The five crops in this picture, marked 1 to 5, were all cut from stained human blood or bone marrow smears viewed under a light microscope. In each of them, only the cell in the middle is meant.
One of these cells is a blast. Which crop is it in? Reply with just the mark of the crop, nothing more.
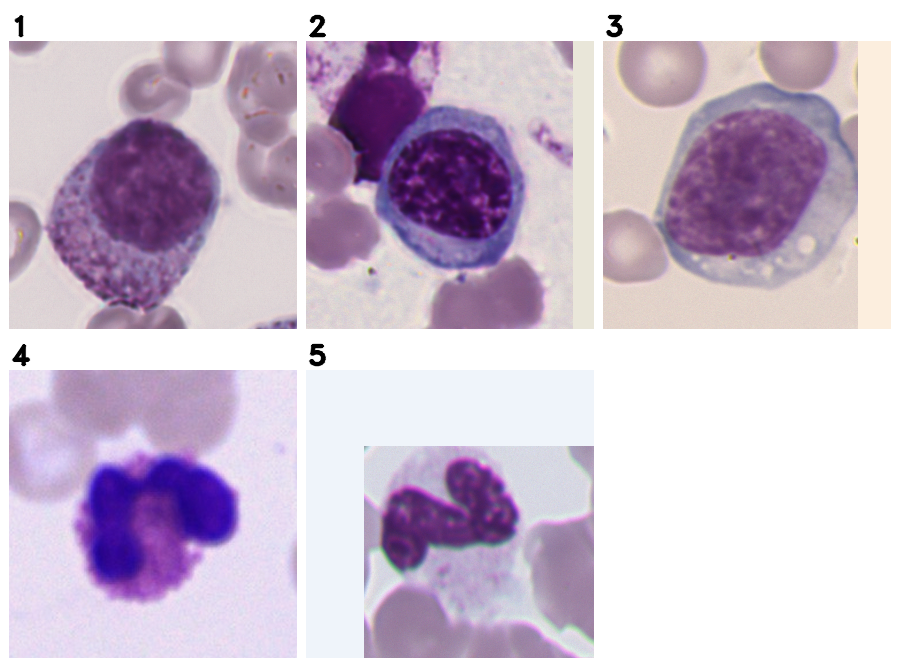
3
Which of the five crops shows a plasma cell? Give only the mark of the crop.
2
